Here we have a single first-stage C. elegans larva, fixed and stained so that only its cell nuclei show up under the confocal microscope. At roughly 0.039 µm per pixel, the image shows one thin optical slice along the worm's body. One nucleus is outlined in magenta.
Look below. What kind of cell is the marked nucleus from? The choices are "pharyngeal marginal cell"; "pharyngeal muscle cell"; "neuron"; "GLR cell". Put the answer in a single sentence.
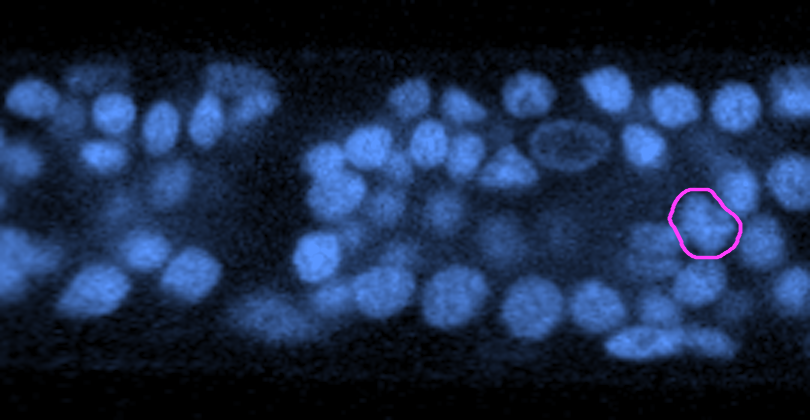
It belongs to a pharyngeal muscle cell.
